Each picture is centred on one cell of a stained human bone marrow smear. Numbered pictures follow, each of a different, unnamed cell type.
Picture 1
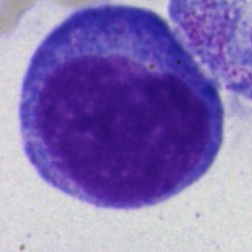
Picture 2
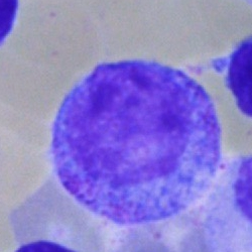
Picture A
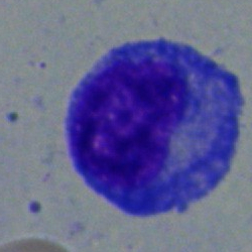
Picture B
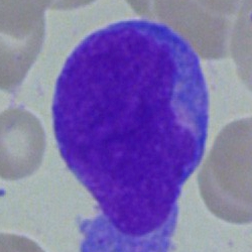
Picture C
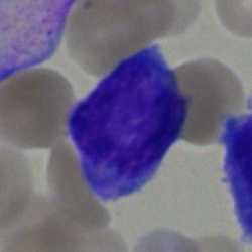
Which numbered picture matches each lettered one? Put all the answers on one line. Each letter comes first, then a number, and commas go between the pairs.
A 2, B 1, C 1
